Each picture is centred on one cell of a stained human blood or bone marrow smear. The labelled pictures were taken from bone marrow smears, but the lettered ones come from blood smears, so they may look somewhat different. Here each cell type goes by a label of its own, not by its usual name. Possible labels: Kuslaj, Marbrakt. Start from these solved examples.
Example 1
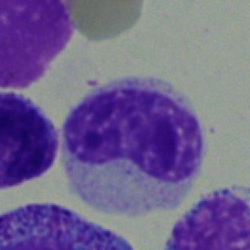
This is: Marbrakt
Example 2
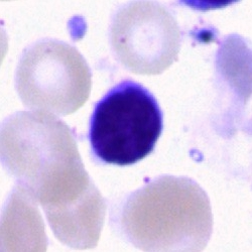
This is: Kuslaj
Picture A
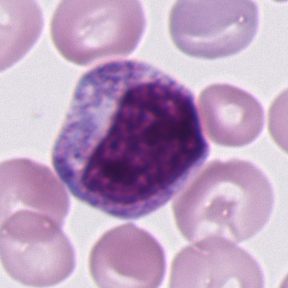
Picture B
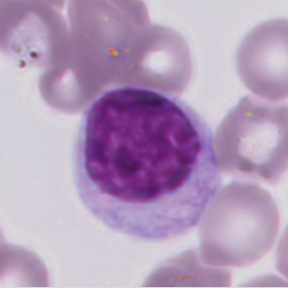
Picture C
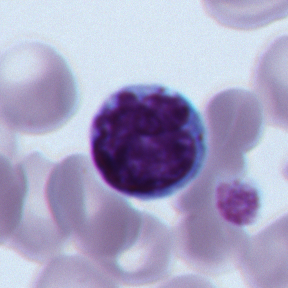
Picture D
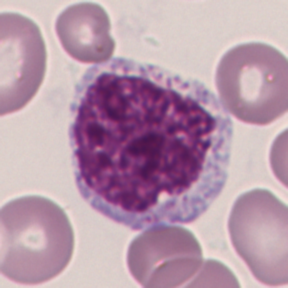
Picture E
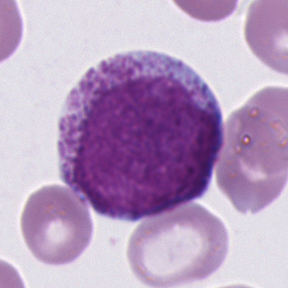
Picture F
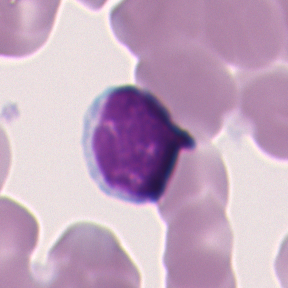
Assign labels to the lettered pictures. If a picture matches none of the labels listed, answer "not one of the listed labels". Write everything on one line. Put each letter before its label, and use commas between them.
A Marbrakt, B not one of the listed labels, C Kuslaj, D not one of the listed labels, E not one of the listed labels, F Kuslaj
